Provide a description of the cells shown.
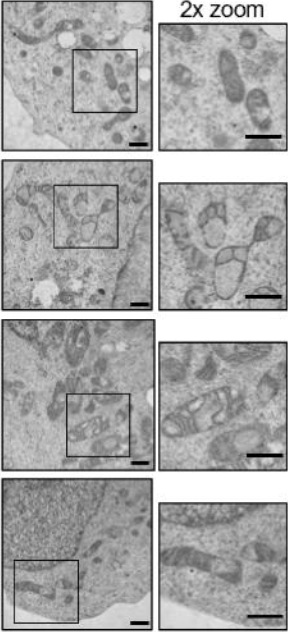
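The mitochondria are round to elongated organelles bounded by membranes. Some contain inner membrane folds crossing the organelle, while others look paler with fewer folds. Part of a nucleus with granular chromatin appears at the edge of some tiles.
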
